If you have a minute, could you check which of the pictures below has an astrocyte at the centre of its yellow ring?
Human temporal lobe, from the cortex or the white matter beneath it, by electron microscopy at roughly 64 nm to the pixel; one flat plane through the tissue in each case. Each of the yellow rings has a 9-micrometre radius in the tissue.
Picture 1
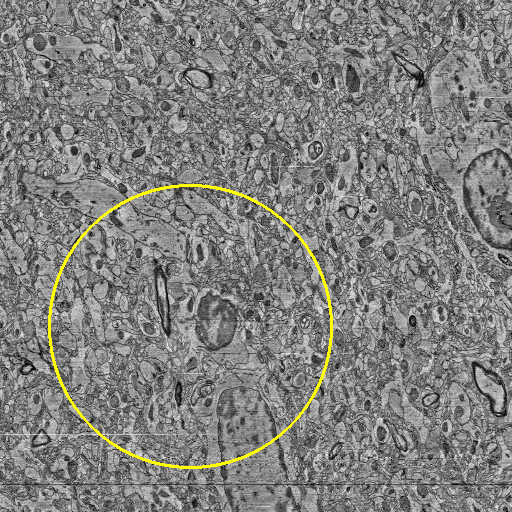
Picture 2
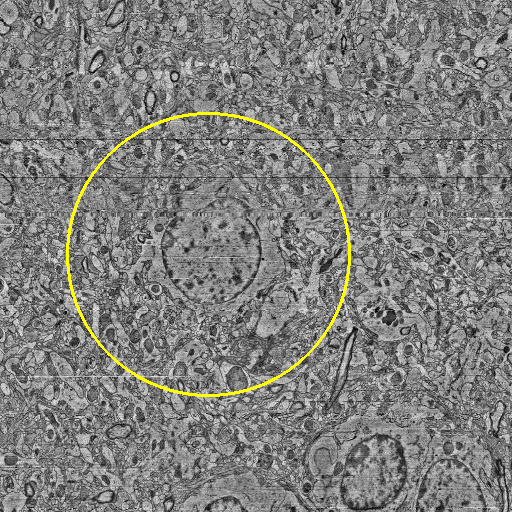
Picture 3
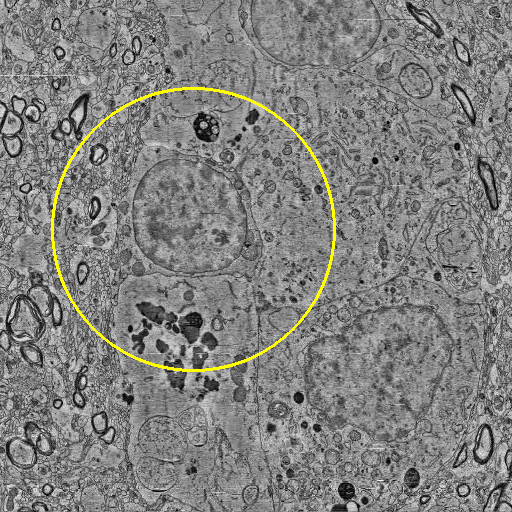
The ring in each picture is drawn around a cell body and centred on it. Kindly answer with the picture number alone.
2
